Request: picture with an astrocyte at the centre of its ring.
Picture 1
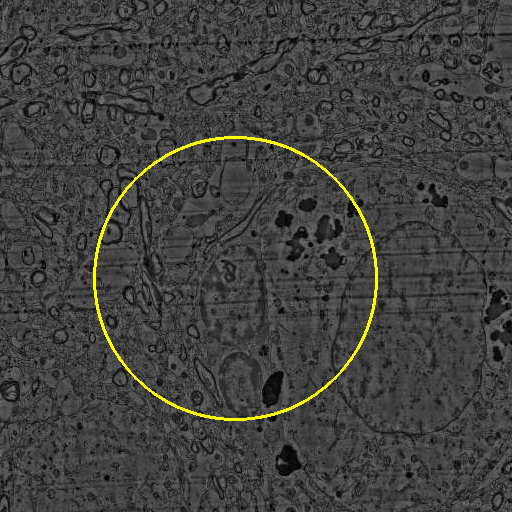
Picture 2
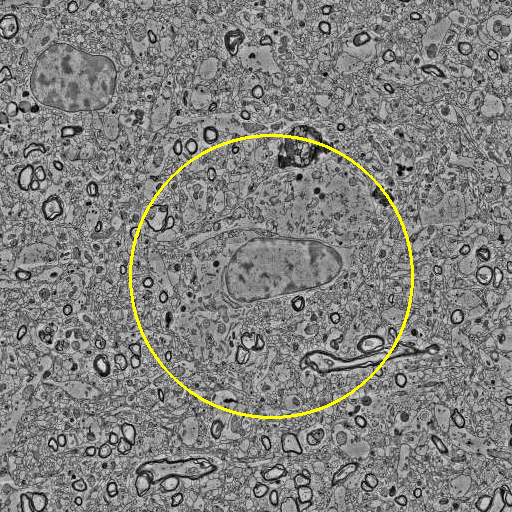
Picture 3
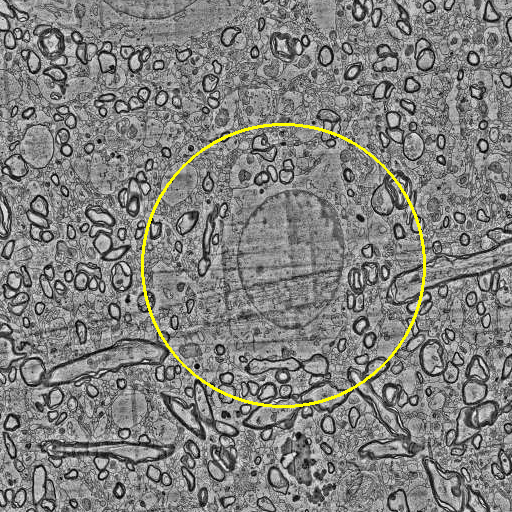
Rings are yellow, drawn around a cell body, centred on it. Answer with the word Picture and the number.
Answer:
Picture 3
